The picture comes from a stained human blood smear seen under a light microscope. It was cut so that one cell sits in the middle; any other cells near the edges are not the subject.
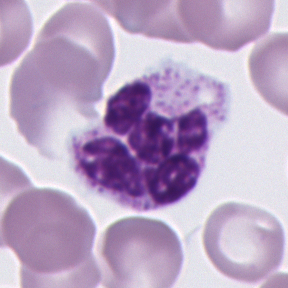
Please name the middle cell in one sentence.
The central cell shown in this smear crop is a segmented neutrophil.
